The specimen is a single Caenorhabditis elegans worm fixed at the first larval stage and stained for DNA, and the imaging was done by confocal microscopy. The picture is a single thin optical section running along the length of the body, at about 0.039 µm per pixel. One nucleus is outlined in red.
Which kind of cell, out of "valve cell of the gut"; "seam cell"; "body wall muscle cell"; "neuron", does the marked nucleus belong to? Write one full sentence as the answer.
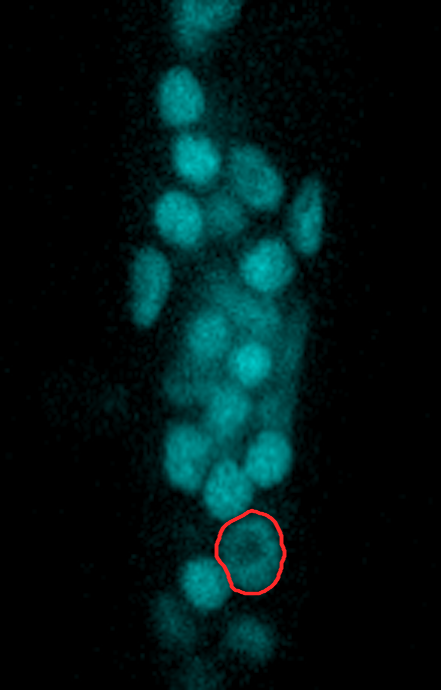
It is the nucleus of a seam cell.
